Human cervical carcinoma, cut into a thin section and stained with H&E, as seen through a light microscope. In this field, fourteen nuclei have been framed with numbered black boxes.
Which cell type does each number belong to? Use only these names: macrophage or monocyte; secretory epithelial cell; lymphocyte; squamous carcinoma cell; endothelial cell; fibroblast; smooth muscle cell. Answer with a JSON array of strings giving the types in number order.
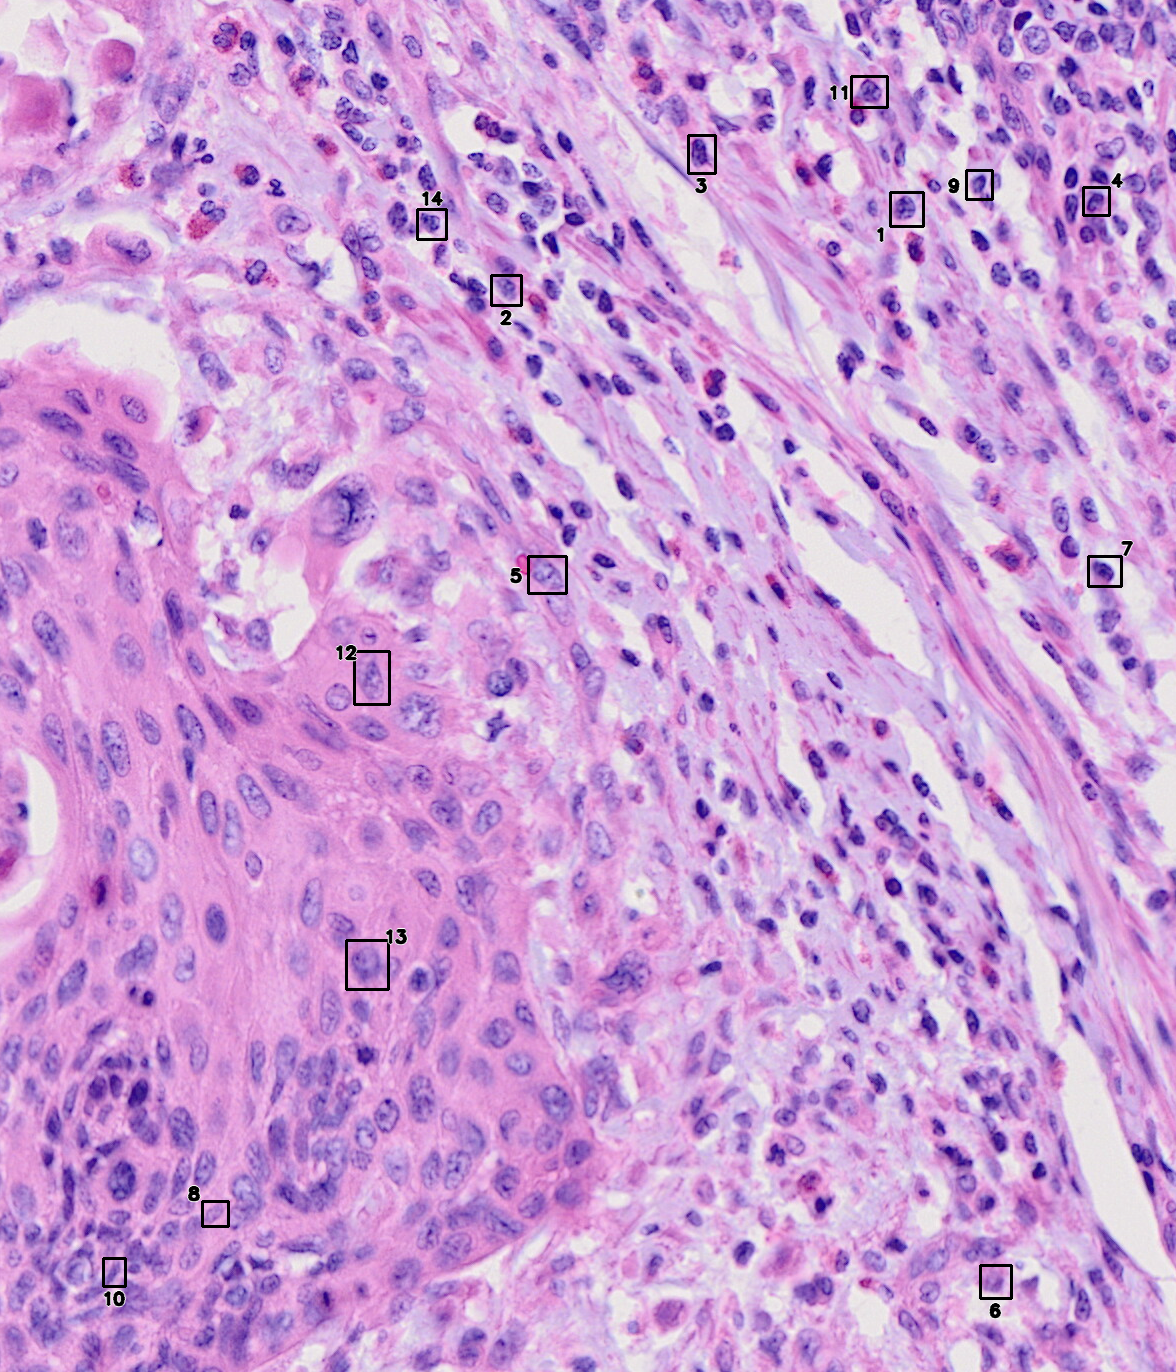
["lymphocyte", "lymphocyte", "lymphocyte", "lymphocyte", "endothelial cell", "macrophage or monocyte", "lymphocyte", "squamous carcinoma cell", "lymphocyte", "squamous carcinoma cell", "lymphocyte", "squamous carcinoma cell", "squamous carcinoma cell", "lymphocyte"]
